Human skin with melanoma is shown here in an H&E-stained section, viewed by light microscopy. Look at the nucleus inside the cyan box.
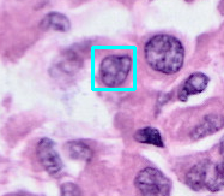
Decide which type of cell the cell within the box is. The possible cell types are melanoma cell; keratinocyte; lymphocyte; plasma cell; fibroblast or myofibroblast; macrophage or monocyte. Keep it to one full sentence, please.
Typologically, the cell within the box is a melanoma cell in this section.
